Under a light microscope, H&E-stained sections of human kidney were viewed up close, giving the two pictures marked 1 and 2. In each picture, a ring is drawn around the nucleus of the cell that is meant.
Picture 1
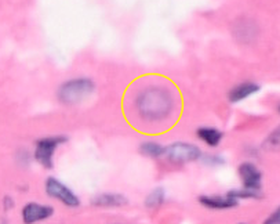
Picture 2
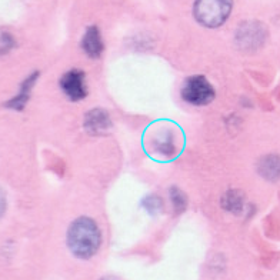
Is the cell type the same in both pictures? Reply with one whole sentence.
No, picture 1 shows a proximal tubule cell and picture 2 shows a “loop of Henle or distal tubule cell”.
